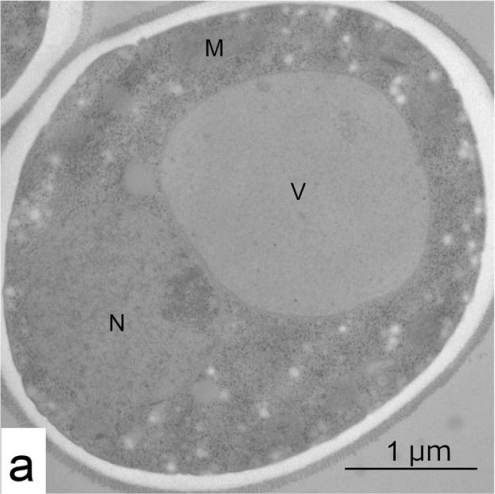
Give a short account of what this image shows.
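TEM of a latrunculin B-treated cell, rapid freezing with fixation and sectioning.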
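This is a whole rounded cell cut in cross section, surrounded by a thick pale wall with a finely fringed outer surface. Around the edge, the dense granular cytoplasm holds small oval mitochondria and scattered bright round spots.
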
